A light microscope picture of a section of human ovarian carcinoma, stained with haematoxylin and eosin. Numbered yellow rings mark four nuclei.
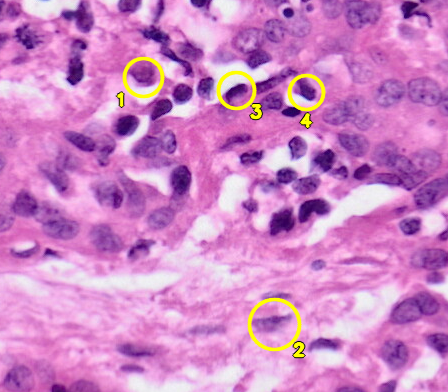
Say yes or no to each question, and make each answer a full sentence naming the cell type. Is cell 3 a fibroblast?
No, sorry, the cell labelled 3 is not a fibroblast; it is a carcinoma cell.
